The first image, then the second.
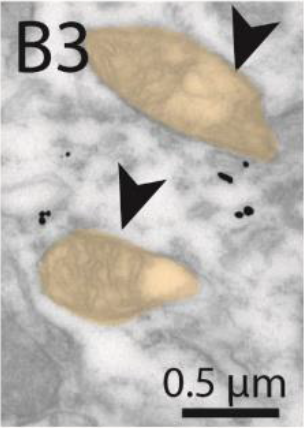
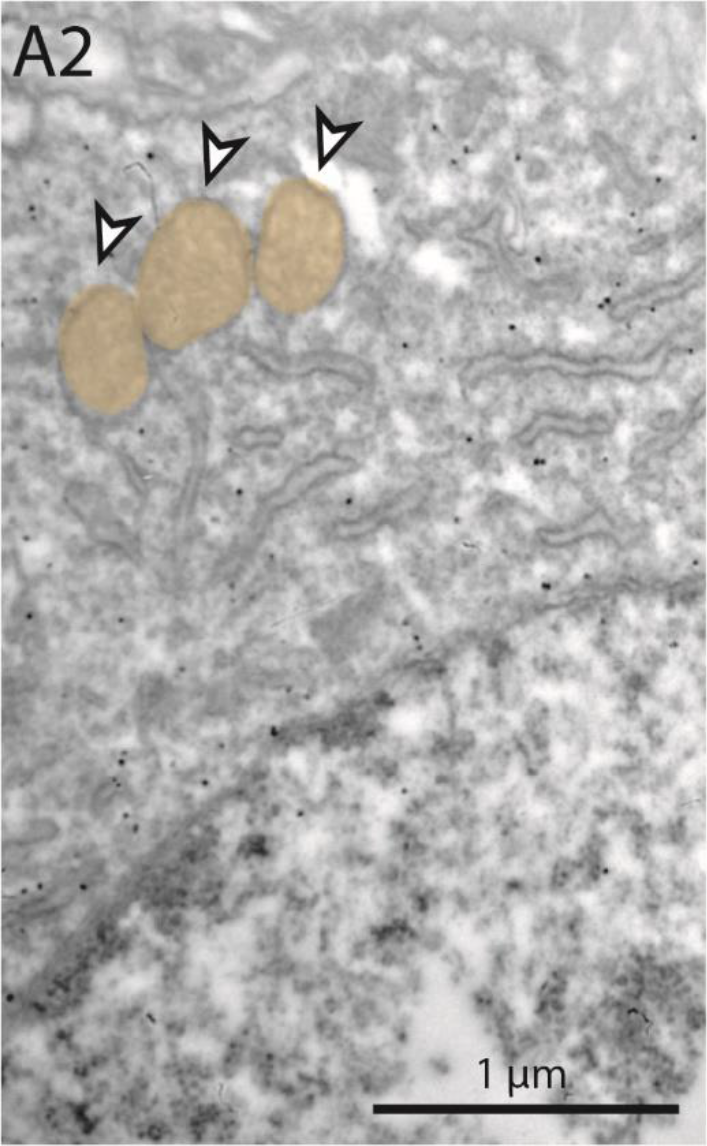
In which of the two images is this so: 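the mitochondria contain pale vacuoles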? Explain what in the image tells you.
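The first image. First image: the orange mitochondria show distinct pale, clear patches inside. Second image: the orange mitochondria appear evenly dense without clear spaces.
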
